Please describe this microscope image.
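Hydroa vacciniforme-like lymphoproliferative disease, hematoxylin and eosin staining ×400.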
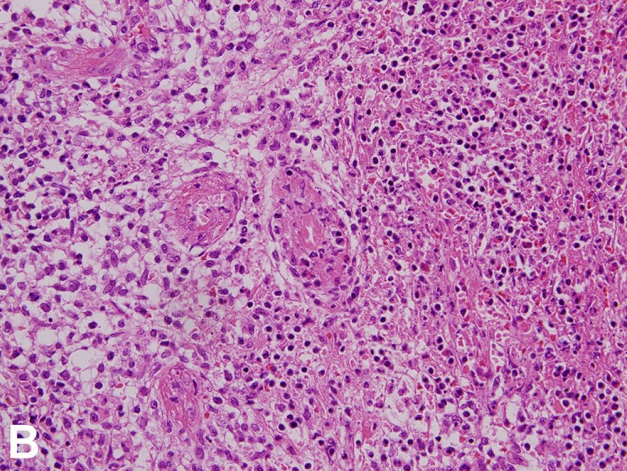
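Dense infiltrate of small- to medium-sized atypical lymphocytes in dermis. Nuclei are round to slightly irregular and dark purple, with scant pale cytoplasm. Cells are packed tightly, more so on one side, and looser in a paler, edematous-looking stroma on the other. Scattered red blood cells lie among the infiltrate.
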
